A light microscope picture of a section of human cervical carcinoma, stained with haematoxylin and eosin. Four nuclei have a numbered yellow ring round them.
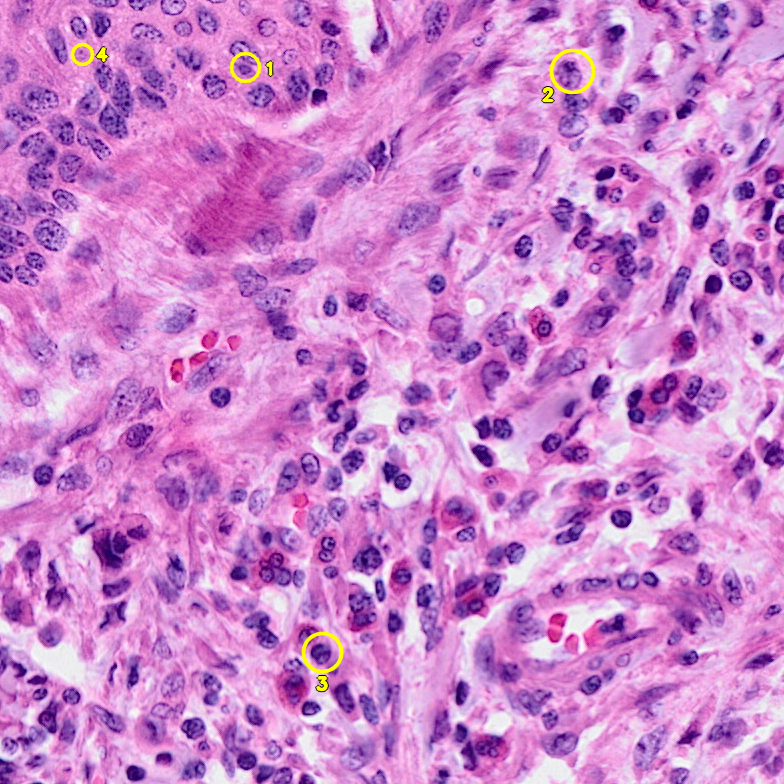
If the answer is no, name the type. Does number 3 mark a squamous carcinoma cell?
No, it is a lymphocyte.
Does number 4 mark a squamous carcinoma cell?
Yes.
